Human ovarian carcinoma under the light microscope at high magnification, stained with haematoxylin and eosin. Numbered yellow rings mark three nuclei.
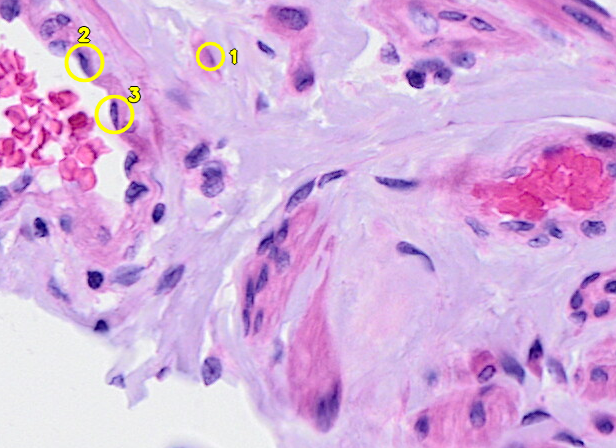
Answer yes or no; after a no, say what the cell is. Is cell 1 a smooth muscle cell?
Yes.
